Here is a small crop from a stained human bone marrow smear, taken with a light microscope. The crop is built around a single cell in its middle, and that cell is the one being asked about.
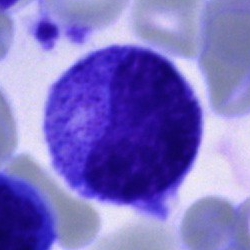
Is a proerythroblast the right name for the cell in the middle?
no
